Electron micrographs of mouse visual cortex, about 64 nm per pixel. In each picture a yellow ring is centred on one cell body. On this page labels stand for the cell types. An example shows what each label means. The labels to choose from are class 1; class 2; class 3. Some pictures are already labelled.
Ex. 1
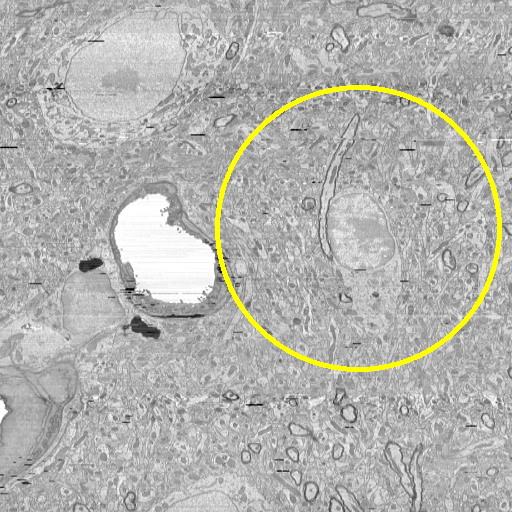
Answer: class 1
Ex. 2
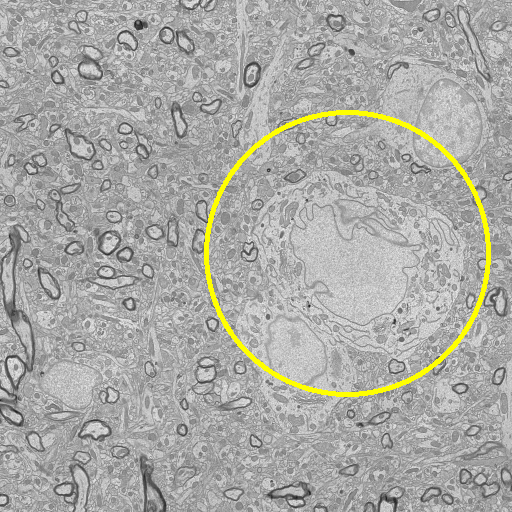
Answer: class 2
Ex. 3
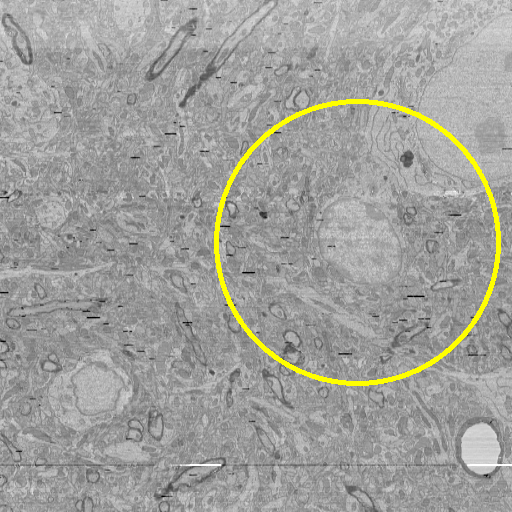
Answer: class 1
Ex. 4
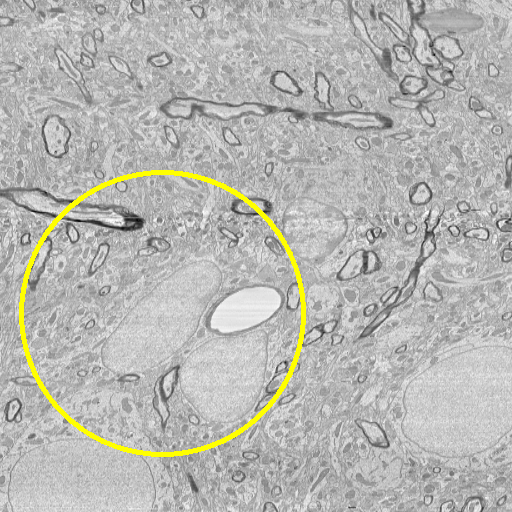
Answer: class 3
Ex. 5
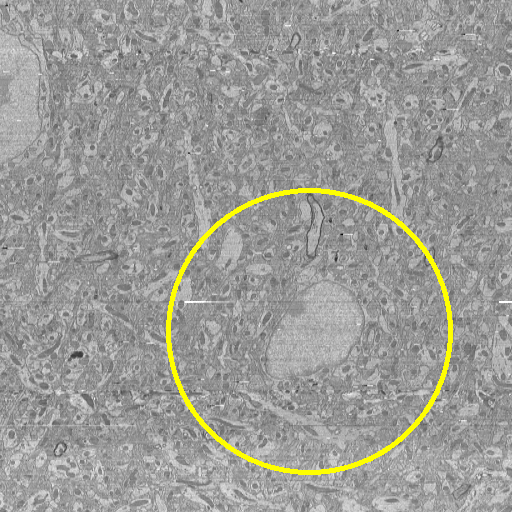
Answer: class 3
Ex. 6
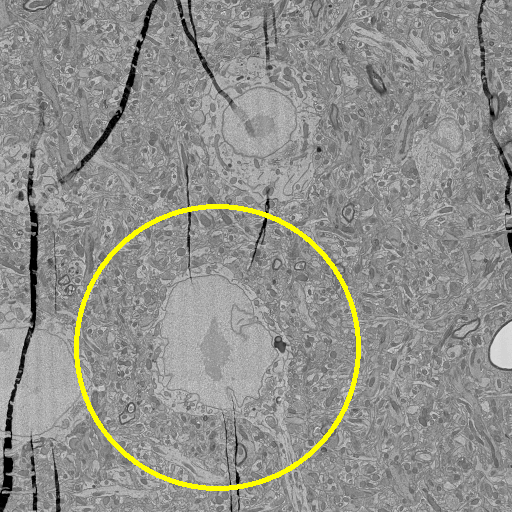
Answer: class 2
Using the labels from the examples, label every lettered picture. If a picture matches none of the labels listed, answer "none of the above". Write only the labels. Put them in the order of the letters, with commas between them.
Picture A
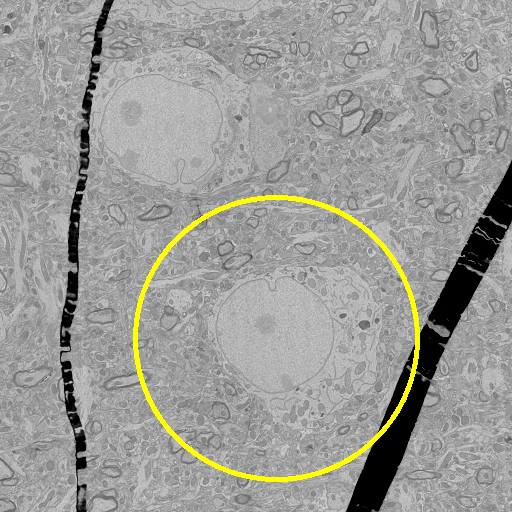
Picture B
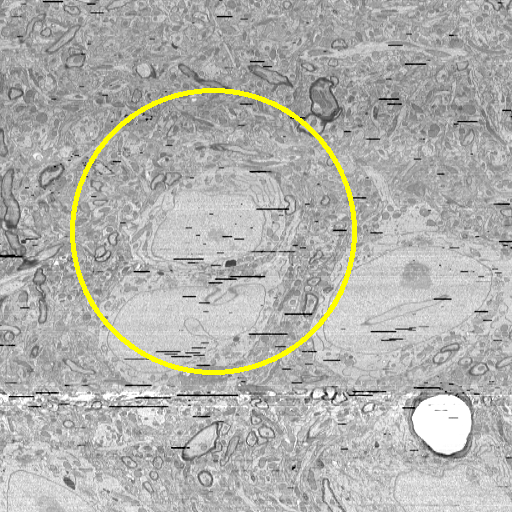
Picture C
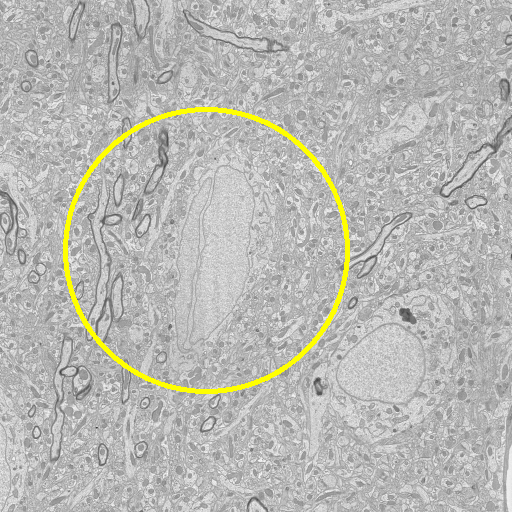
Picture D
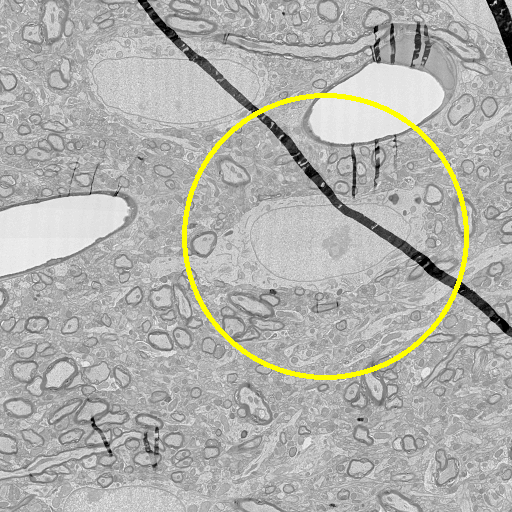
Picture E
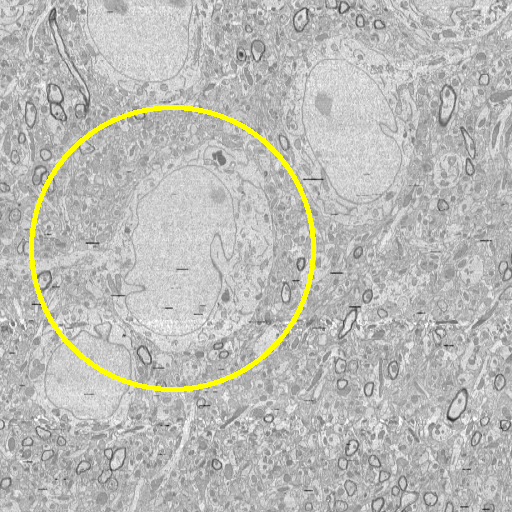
none of the above, class 2, class 2, none of the above, none of the above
